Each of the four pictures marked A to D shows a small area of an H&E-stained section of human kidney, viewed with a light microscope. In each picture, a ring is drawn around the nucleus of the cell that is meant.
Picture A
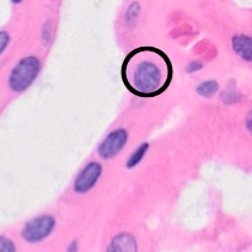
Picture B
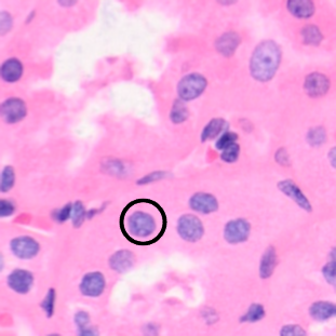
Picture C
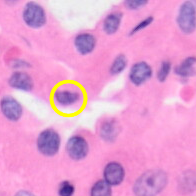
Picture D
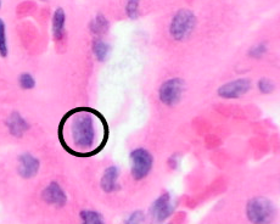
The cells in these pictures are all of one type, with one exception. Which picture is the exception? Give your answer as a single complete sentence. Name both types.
The others show “loop of Henle or distal tubule cells”, but picture A shows a collecting duct cell.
